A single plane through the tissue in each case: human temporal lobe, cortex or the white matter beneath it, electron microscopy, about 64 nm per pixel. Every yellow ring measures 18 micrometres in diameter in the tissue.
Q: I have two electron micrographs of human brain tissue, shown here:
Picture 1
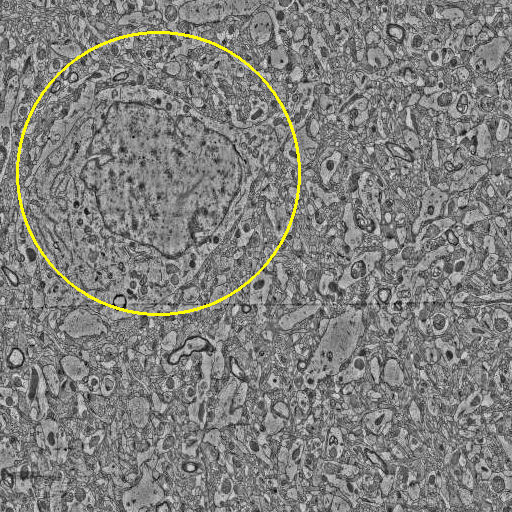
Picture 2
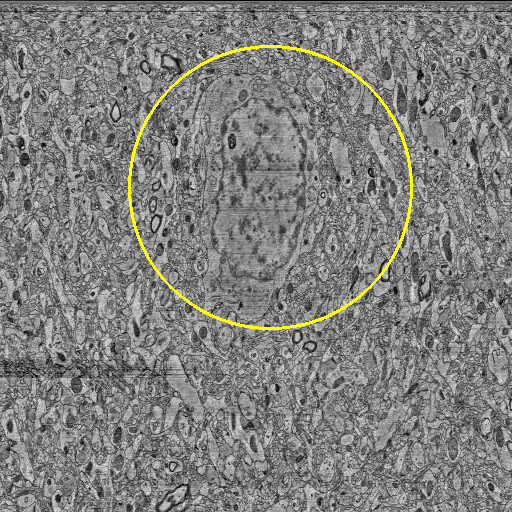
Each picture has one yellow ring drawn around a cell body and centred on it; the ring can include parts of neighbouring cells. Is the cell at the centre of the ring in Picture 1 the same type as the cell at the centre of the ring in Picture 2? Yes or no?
yes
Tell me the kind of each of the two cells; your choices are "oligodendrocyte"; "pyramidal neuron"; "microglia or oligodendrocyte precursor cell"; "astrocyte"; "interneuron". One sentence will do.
In each picture the ringed cell is an interneuron.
